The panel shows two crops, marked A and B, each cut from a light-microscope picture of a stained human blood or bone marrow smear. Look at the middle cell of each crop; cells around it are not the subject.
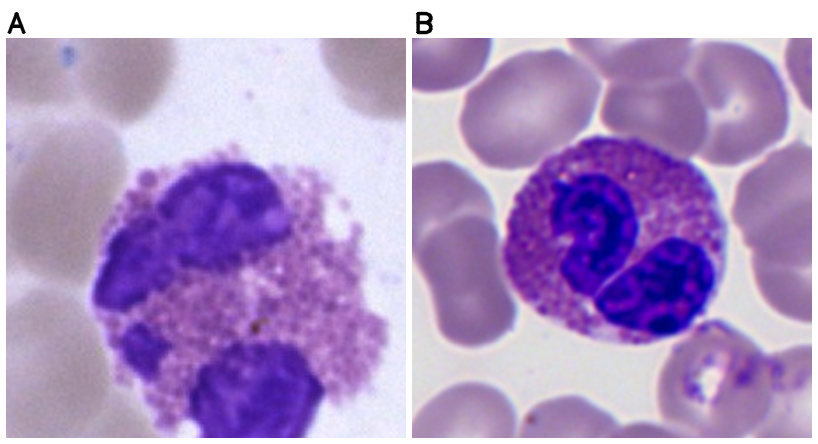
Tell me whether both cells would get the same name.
yes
